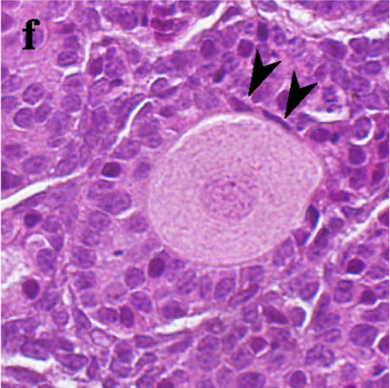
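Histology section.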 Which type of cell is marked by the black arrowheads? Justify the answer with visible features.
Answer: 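The arrowheads point to elongated, flat, dark nuclei. These flat cells lie against the upper edge of the oocyte.
Answer: Flattened theca like-cells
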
